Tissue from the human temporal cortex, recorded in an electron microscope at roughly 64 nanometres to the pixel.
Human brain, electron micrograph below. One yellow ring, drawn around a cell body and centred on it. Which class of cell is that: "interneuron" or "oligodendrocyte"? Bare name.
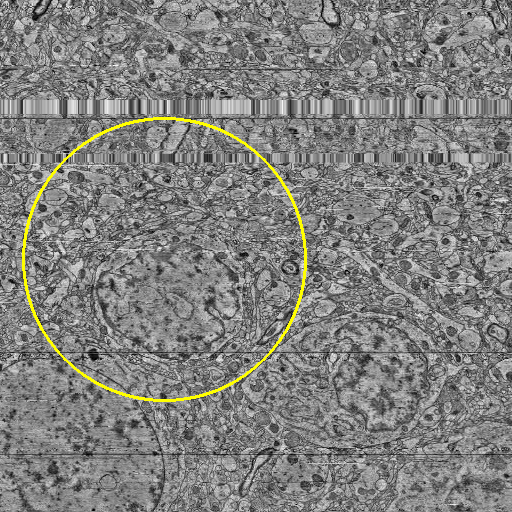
interneuron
